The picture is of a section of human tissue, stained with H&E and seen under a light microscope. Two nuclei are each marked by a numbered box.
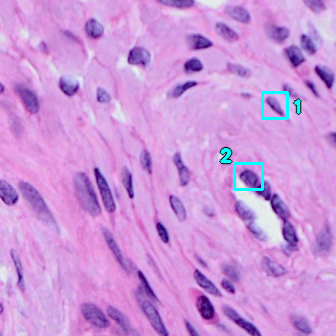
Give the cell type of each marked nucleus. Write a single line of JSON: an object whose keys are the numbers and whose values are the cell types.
{"1": "fibroblast", "2": "endothelial cell"}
